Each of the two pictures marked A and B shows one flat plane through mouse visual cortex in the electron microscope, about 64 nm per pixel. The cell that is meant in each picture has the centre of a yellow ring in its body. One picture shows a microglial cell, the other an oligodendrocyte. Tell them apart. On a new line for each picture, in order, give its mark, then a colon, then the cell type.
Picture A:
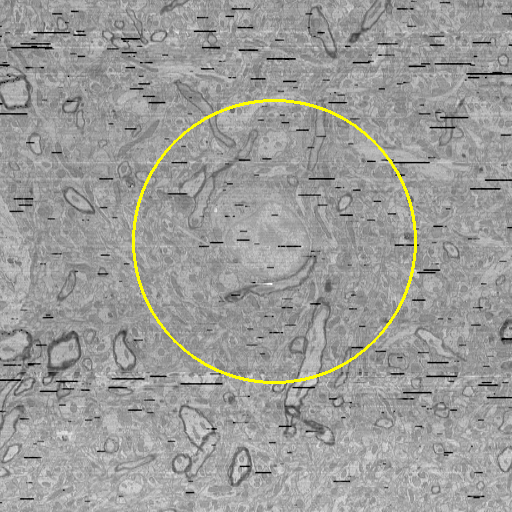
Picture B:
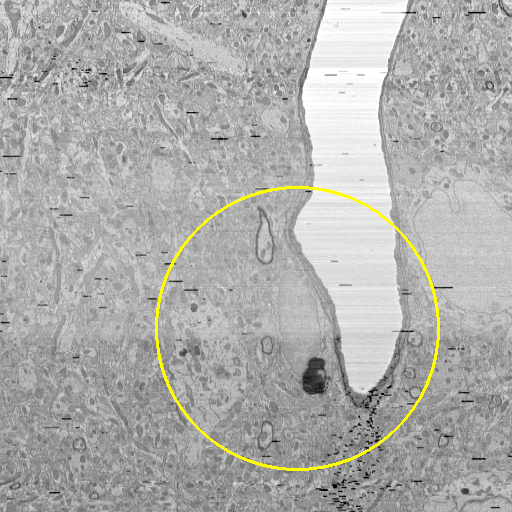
A: oligodendrocyte
B: microglial cell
